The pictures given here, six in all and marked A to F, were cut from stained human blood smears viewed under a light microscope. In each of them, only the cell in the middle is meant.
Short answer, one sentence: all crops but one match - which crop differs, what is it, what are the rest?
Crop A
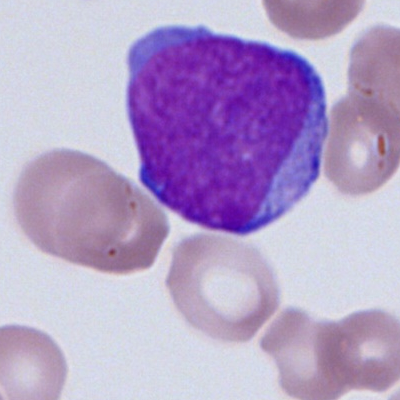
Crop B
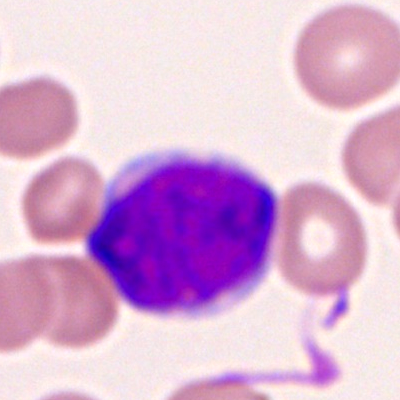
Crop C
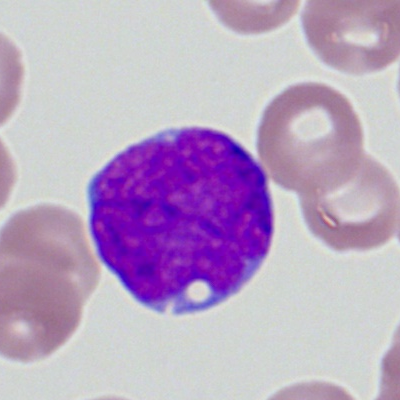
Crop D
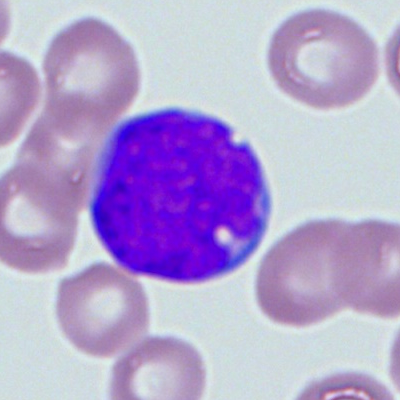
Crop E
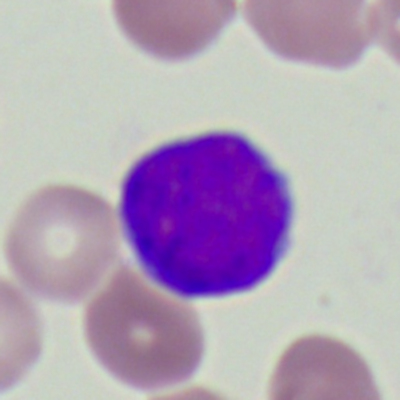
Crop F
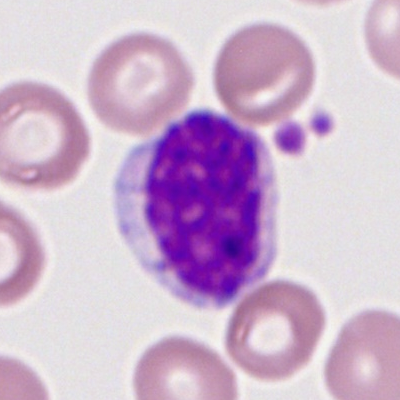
A different cell type, a lymphocyte, occupies crop F; the other crops show myeloblasts.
